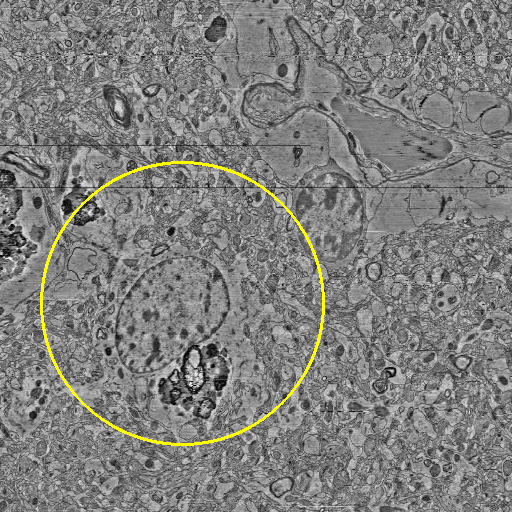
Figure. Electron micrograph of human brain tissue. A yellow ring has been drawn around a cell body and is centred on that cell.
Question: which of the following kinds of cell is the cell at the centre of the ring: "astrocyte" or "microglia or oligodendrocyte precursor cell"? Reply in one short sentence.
The cell at the centre of the ring is an astrocyte.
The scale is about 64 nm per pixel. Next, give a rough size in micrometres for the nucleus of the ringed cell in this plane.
The nucleus of the ringed cell is approximately 9 by 6 micrometres in this plane.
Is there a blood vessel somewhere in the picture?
Yes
